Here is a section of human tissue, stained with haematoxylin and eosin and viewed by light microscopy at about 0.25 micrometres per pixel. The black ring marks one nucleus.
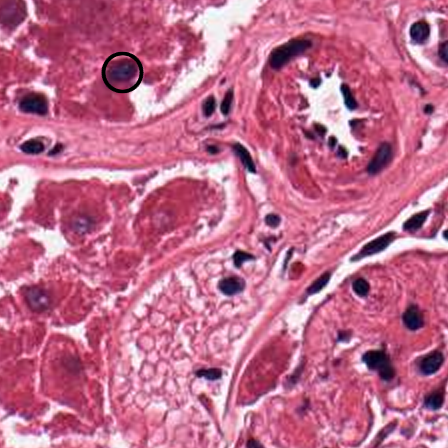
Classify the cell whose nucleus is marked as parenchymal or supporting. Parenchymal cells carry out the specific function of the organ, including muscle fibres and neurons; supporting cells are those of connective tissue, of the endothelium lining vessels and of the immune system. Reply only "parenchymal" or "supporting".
parenchymal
